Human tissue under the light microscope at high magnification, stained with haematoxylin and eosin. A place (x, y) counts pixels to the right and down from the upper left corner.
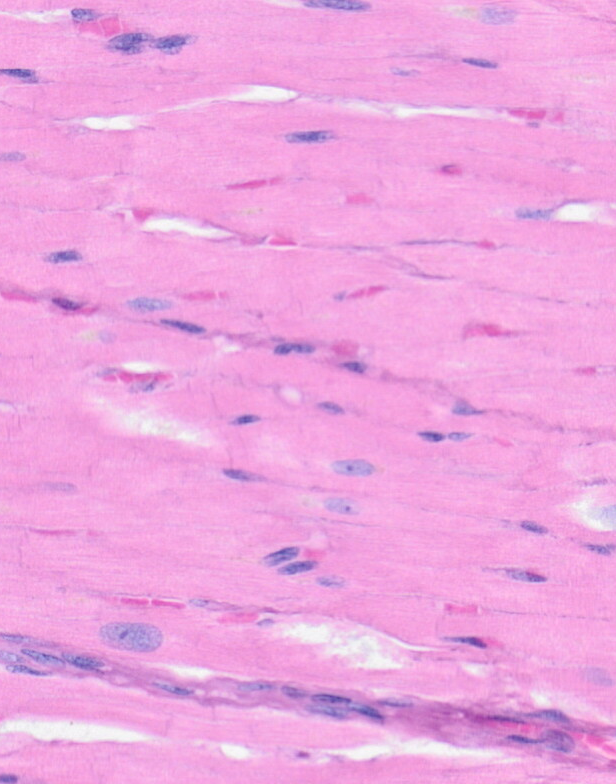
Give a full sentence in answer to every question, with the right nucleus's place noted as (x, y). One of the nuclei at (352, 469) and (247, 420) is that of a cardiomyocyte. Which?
Answering which nucleus it is: the one at (352, 469), belonging to a cardiomyocyte.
